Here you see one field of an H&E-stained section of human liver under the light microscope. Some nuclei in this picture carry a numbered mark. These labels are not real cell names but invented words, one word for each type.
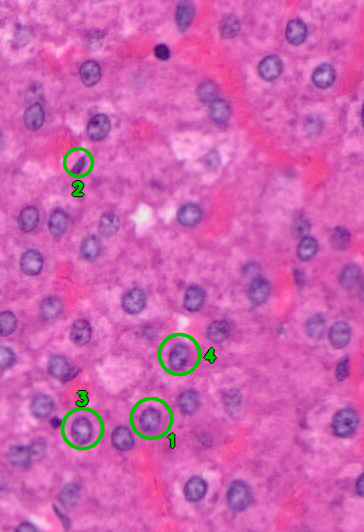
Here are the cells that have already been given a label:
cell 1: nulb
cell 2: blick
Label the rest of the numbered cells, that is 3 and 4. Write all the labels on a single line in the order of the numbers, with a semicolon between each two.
nulb; nulb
